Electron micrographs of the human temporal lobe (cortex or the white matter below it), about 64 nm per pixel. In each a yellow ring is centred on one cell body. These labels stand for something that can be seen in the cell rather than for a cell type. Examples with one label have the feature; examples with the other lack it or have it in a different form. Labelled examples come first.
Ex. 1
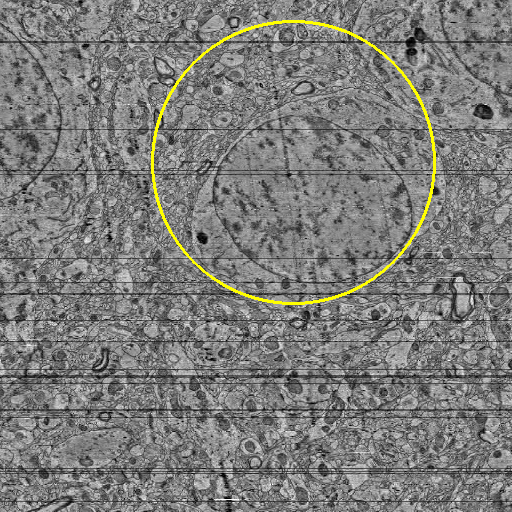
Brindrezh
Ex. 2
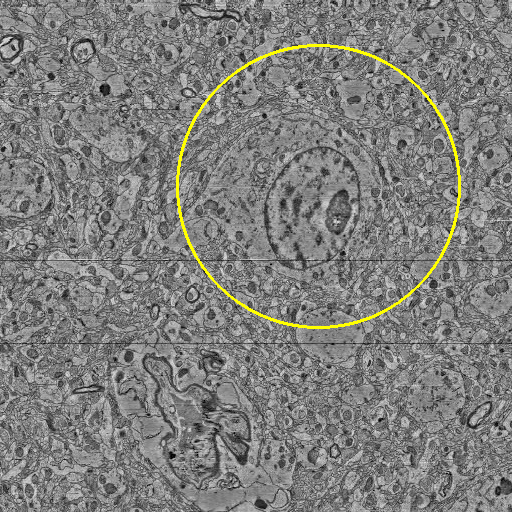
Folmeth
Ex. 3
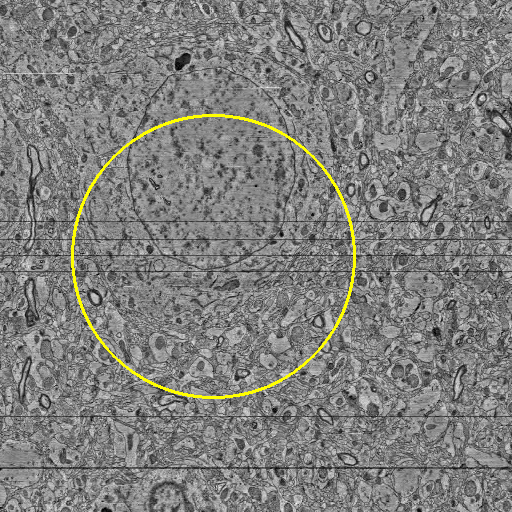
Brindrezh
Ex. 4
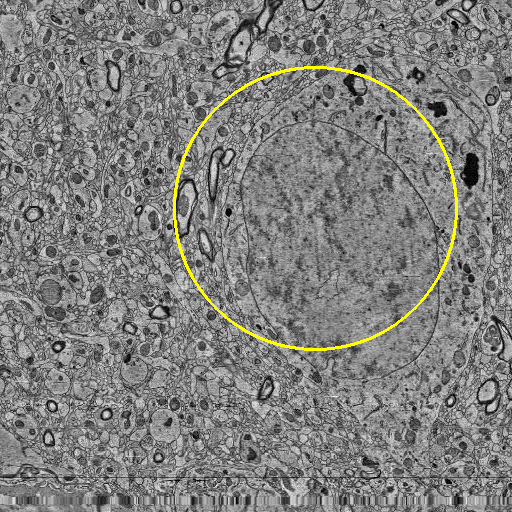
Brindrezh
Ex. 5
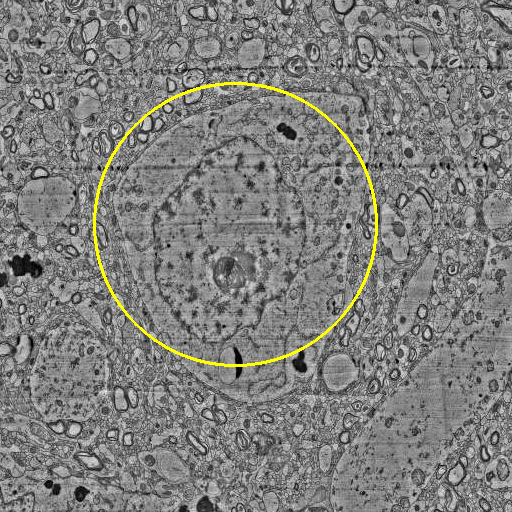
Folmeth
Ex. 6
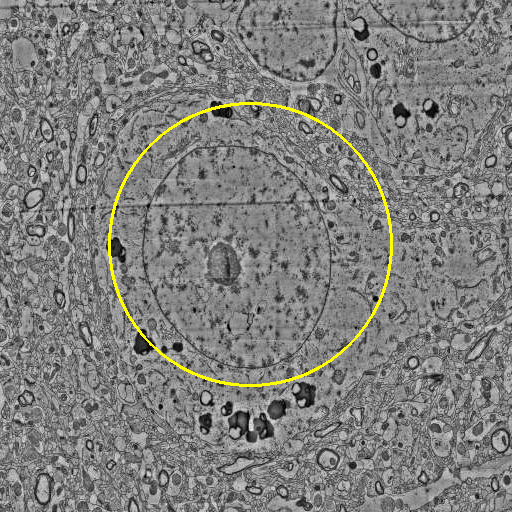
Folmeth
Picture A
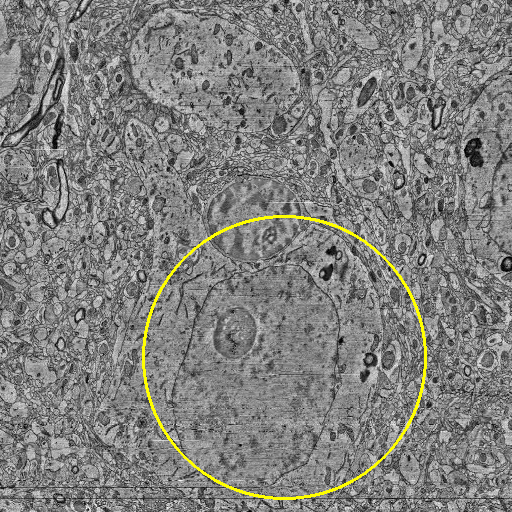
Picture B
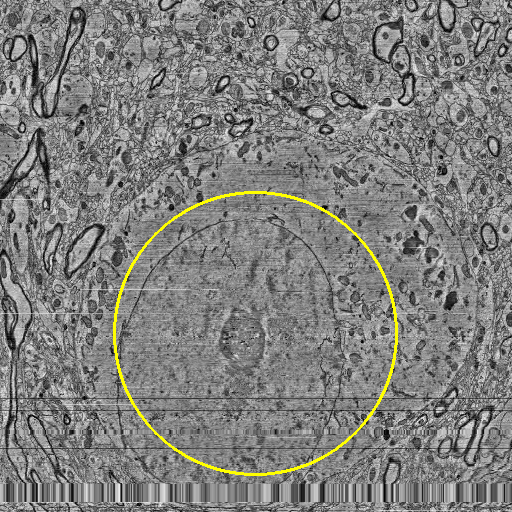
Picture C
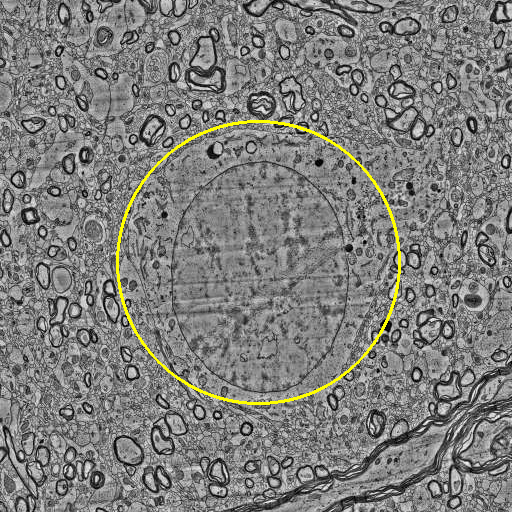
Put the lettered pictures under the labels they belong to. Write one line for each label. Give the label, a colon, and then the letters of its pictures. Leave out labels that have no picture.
Brindrezh: C
Folmeth: A, B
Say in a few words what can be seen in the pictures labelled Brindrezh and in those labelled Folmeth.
Seen in Brindrezh: no nucleolus seen; seen in Folmeth: nucleolus seen.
